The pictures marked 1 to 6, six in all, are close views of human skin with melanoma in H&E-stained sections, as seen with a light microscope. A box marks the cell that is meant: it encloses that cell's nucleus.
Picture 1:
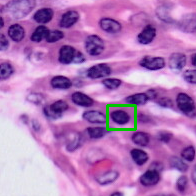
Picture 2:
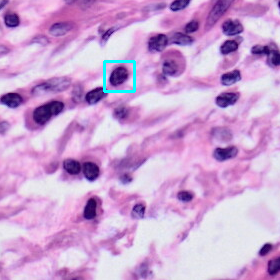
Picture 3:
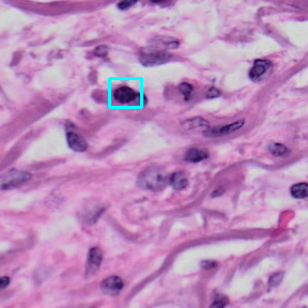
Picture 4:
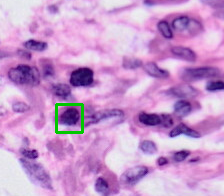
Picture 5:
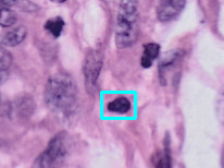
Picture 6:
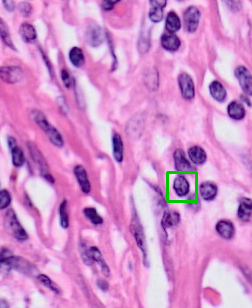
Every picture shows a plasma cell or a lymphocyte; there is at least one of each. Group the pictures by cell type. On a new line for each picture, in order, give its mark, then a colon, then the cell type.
1: plasma cell
2: plasma cell
3: plasma cell
4: plasma cell
5: lymphocyte
6: lymphocyte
